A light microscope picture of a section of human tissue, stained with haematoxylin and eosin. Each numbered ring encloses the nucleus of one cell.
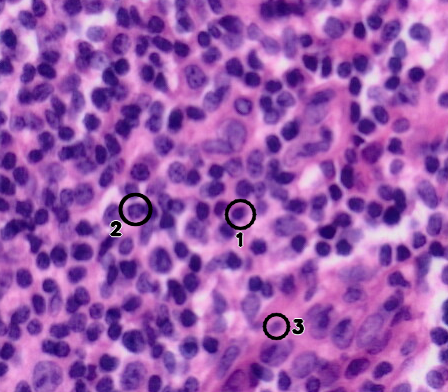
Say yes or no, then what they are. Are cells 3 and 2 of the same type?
No, cell 3 counts as an endothelial cell, and cell 2 counts as a small lymphocyte.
